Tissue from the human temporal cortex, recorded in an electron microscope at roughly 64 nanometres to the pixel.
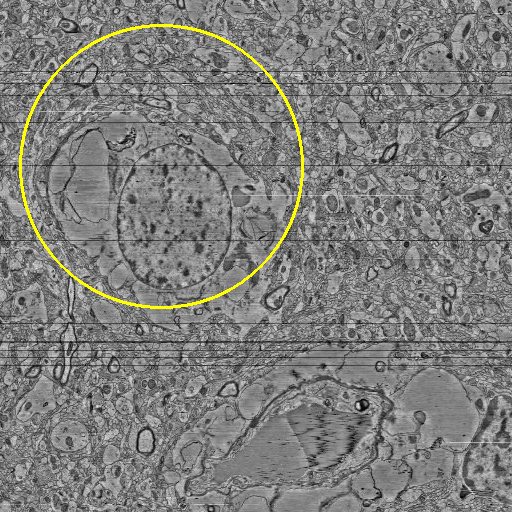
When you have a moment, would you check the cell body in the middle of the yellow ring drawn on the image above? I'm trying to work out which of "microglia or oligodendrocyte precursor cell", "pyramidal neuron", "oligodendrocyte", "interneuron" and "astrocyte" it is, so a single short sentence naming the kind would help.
This cell body belongs to an astrocyte.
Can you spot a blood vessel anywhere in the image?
Yes, the image shows a blood vessel.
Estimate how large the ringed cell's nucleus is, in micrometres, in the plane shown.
In this plane, the nucleus of the cell at the centre of the ring measures about 10 by 7 micrometres.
